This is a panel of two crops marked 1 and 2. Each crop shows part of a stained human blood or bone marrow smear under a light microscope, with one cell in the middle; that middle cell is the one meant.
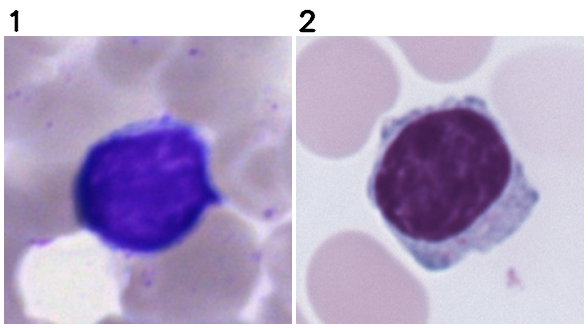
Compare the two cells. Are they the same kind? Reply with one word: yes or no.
yes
